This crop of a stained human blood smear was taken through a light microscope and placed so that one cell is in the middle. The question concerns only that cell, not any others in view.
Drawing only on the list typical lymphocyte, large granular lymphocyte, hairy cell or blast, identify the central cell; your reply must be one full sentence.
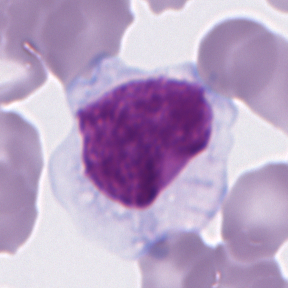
The cell that lies at the centre of the crop is a hairy cell.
